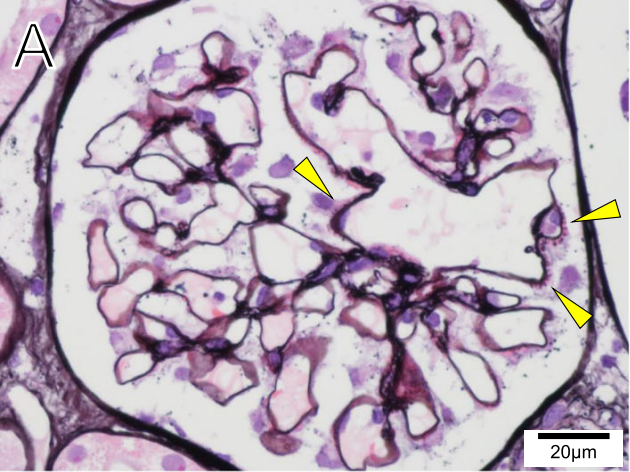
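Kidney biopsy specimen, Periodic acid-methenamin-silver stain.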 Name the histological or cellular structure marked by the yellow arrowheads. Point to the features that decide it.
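Arrowheads point at the black silver-stained capillary wall. Small projections stick out from the outer side of the dark membrane.
Hence: spike formation.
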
